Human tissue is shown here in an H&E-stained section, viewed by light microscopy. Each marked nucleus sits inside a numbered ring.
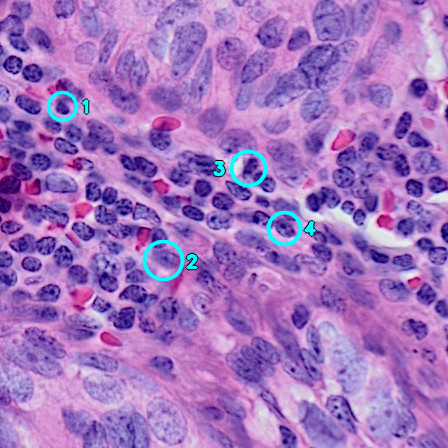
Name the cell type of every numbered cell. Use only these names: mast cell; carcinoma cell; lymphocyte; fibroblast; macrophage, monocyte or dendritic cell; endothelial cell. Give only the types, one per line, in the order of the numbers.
lymphocyte
endothelial cell
lymphocyte
lymphocyte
